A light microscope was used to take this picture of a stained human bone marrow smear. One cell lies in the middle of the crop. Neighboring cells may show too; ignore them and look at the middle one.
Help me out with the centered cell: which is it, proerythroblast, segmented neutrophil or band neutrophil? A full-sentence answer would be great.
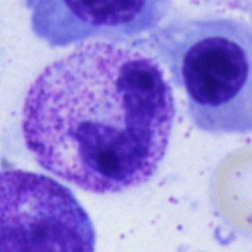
The cell sitting right in the middle is a band neutrophil.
